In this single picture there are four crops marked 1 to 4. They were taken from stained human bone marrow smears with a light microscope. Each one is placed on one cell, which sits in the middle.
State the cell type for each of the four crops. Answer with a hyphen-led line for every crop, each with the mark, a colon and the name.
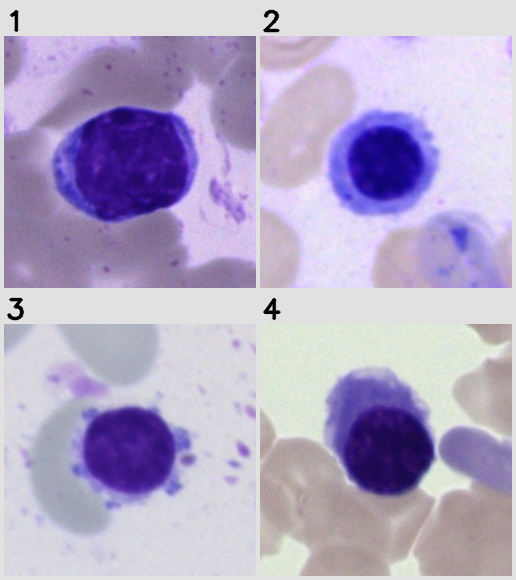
- 1: lymphocyte
- 2: erythroblast
- 3: lymphocyte
- 4: erythroblast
